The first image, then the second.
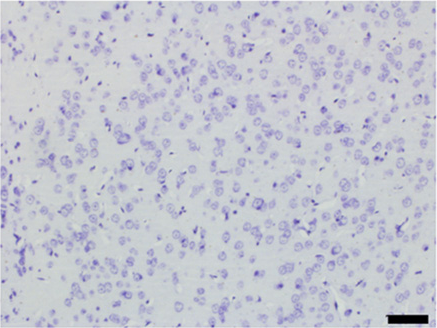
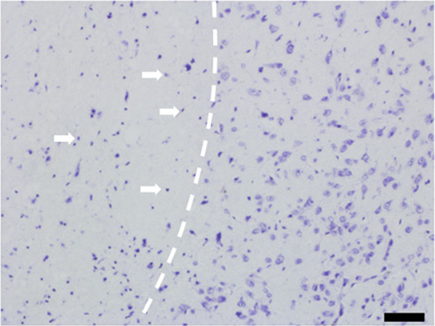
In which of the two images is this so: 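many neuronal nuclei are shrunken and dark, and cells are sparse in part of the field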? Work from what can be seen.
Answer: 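First image: densely packed cells with round, pale-centred nuclei and purple cytoplasm throughout the field. Second image: one side of the field has sparse, small, dark condensed cells on a pale background. The answer: the second image.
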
